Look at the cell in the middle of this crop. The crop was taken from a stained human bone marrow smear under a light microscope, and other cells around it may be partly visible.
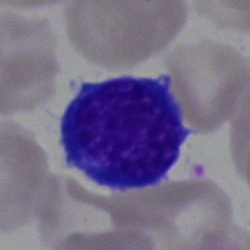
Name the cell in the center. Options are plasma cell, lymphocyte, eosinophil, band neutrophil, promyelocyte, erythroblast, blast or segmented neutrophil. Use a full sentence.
Classification of the middle cell gives a lymphocyte.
